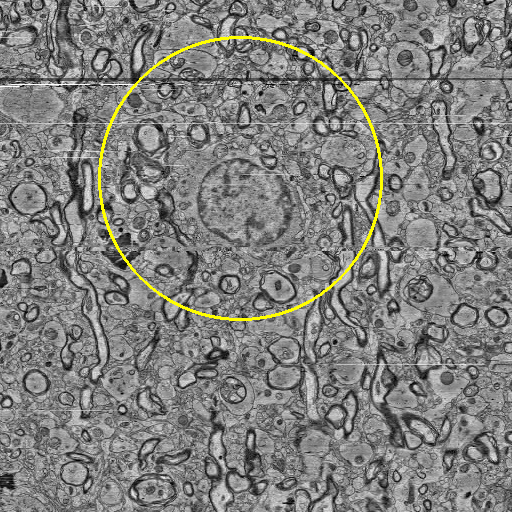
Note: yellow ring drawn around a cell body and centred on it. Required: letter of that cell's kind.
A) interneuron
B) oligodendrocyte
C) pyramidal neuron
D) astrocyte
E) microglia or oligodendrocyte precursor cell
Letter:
B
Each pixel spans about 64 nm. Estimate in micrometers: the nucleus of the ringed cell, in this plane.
In this plane, approximately 6 micrometres across.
